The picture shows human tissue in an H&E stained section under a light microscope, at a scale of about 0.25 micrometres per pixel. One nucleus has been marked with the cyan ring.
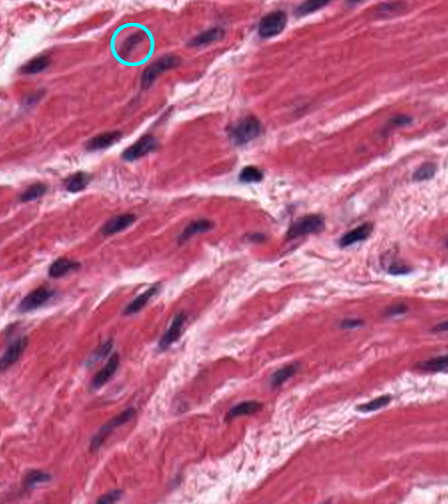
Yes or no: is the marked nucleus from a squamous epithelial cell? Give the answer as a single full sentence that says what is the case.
No, the marked nucleus is not to be assigned to a squamous epithelial cell.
